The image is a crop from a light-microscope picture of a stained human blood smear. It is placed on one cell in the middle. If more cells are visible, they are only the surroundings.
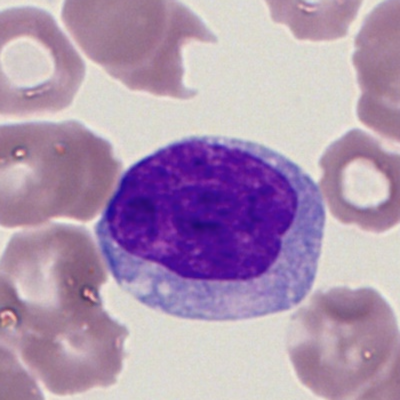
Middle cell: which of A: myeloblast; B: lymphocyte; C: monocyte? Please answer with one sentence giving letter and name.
Option C holds up: the cell in the middle is a monocyte.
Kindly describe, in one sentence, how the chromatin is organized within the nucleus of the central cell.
Take a look at the chromatin, which is coarsely clumped.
